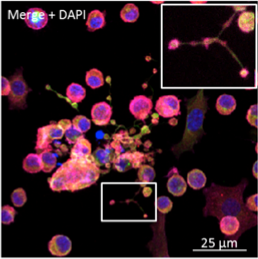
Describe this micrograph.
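Several round cells hold blue nuclei, some lobed or eccentric. Thin beaded shafts with swollen tips run out from the cells, yellow-green along the shafts and red at the swellings in the enlarged inset.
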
